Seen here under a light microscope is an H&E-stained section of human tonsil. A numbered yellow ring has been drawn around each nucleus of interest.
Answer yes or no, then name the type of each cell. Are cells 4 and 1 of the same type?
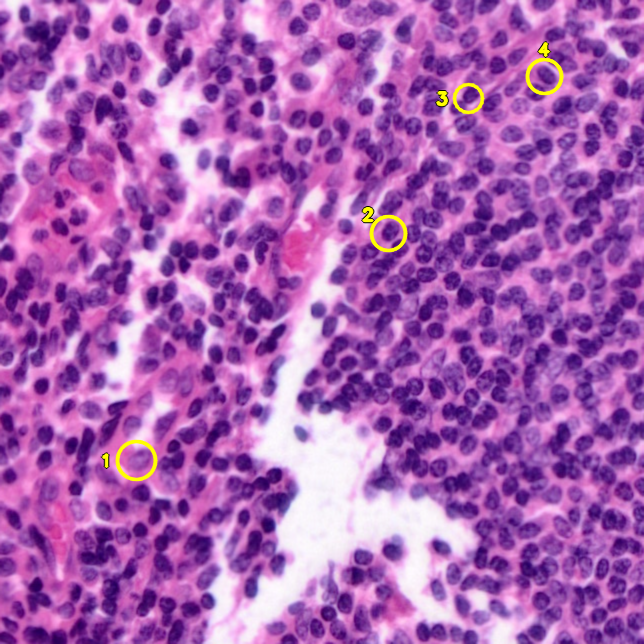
No, the cell marked 4 is a small lymphocyte, and the cell marked 1 is an endothelial cell.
